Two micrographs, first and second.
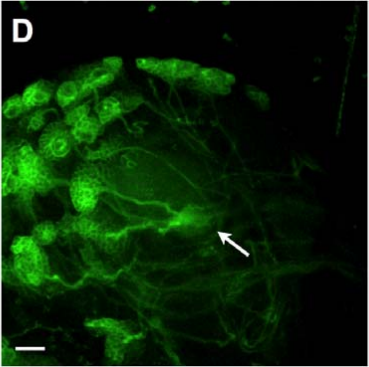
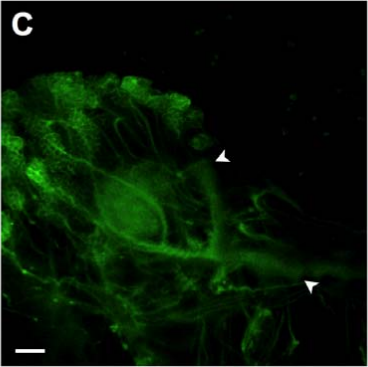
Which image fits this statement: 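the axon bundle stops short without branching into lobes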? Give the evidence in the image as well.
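The first image. First image: the fiber bundle ends in a bright knot at the arrow with no branches beyond it.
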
